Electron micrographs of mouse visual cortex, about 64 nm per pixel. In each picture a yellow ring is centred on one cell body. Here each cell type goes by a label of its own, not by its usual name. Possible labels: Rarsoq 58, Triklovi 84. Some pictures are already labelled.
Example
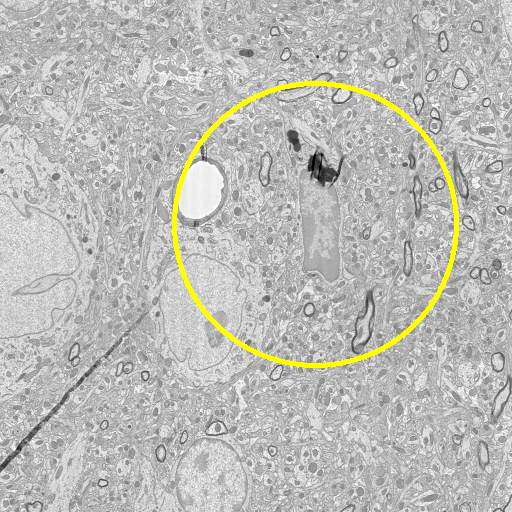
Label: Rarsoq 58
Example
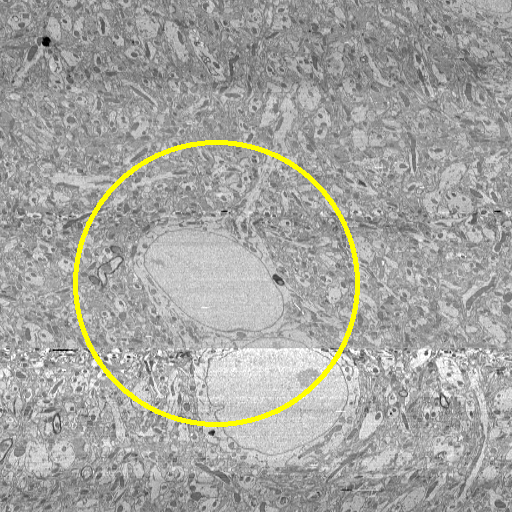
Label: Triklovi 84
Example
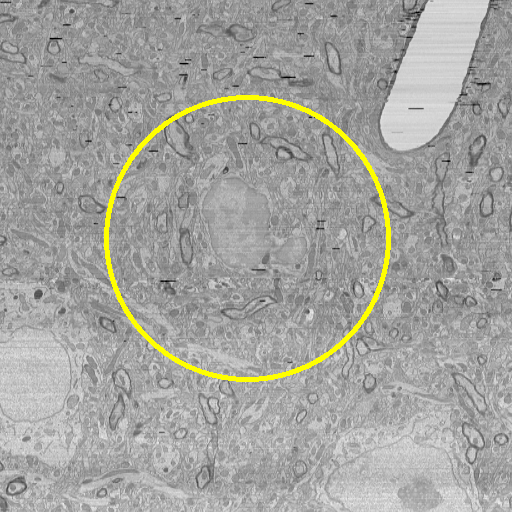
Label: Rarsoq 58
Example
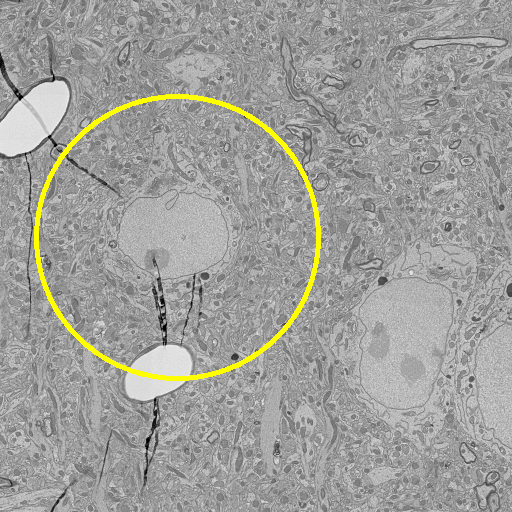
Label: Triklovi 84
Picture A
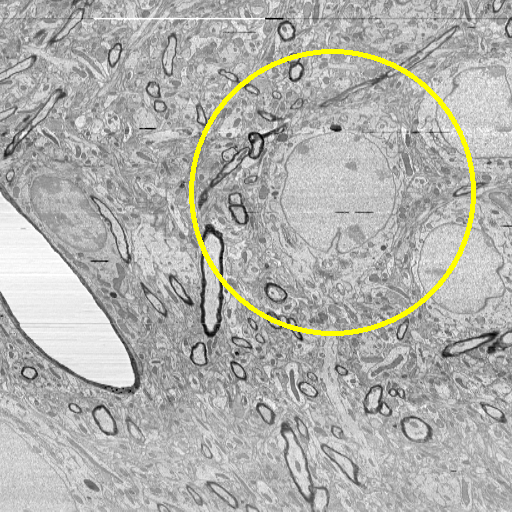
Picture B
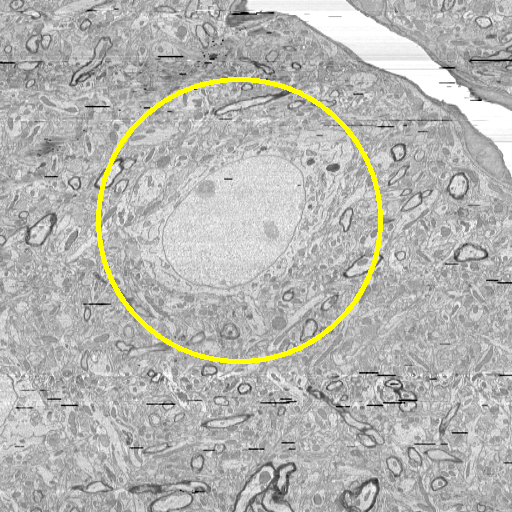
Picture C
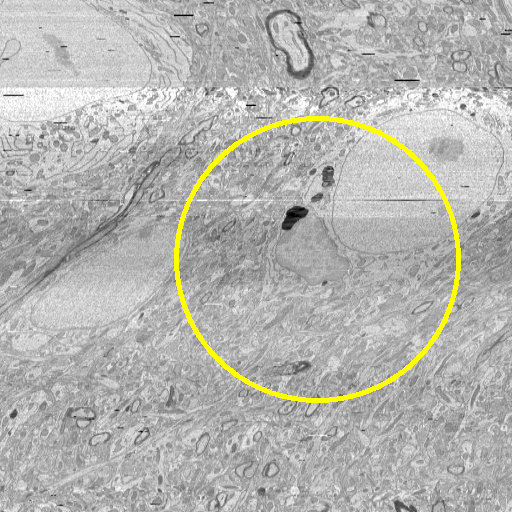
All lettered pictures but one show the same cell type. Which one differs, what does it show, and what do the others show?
Exception: C, showing Rarsoq 58. Remaining pictures: Triklovi 84.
